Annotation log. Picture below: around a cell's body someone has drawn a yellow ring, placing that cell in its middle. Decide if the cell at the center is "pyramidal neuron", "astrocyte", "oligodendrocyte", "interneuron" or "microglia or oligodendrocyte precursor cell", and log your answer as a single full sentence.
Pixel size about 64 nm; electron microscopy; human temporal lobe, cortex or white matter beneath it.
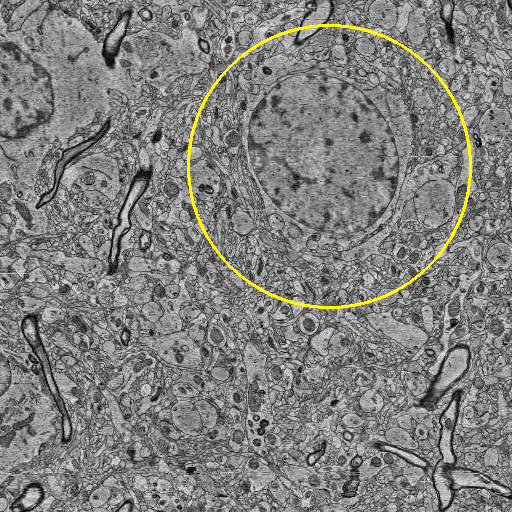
My entry records an astrocyte as the cell sitting at the center of the yellow ring.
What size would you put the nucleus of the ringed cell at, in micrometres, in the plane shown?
About 11 micrometres by about 9 micrometres in this plane.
